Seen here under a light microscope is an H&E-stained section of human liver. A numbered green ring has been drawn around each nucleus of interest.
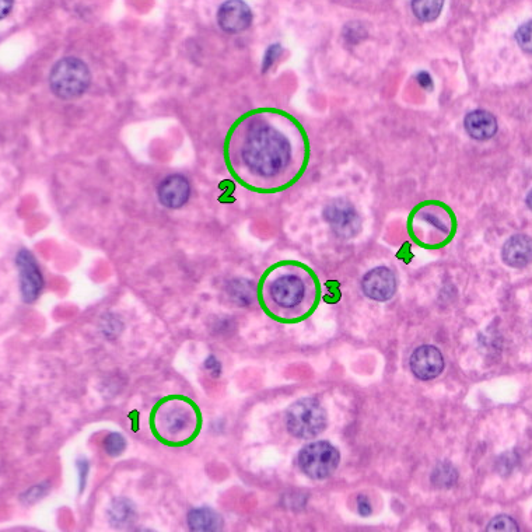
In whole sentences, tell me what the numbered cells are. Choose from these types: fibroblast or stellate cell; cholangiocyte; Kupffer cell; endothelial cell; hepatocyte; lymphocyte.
Cells 1, 2 and 3 are hepatocytes. Cell 4 is an endothelial cell.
